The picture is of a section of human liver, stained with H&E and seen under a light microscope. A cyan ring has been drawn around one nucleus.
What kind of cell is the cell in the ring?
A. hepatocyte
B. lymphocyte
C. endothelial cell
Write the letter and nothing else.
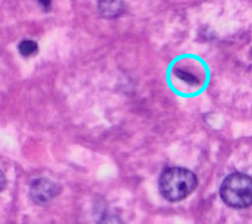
C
